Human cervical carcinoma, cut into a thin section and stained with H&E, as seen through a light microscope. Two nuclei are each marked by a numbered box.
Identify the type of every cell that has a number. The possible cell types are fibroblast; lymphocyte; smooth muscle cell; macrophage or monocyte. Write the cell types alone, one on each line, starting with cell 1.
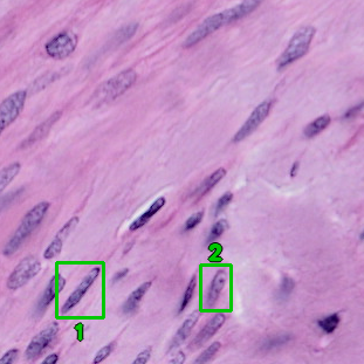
fibroblast
smooth muscle cell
